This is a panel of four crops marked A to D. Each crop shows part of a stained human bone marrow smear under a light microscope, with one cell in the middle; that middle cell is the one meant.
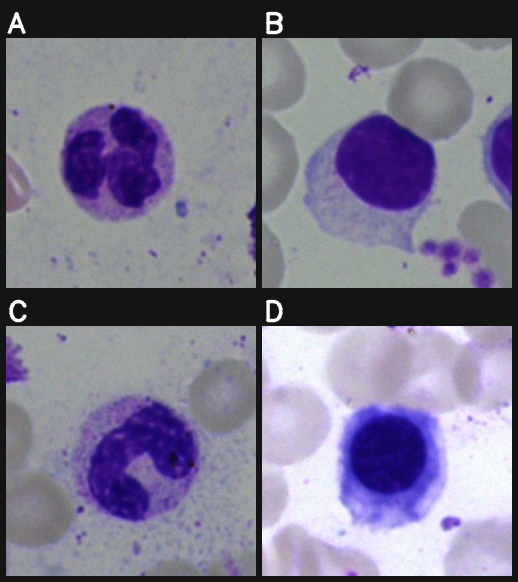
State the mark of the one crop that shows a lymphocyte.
B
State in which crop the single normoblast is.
D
